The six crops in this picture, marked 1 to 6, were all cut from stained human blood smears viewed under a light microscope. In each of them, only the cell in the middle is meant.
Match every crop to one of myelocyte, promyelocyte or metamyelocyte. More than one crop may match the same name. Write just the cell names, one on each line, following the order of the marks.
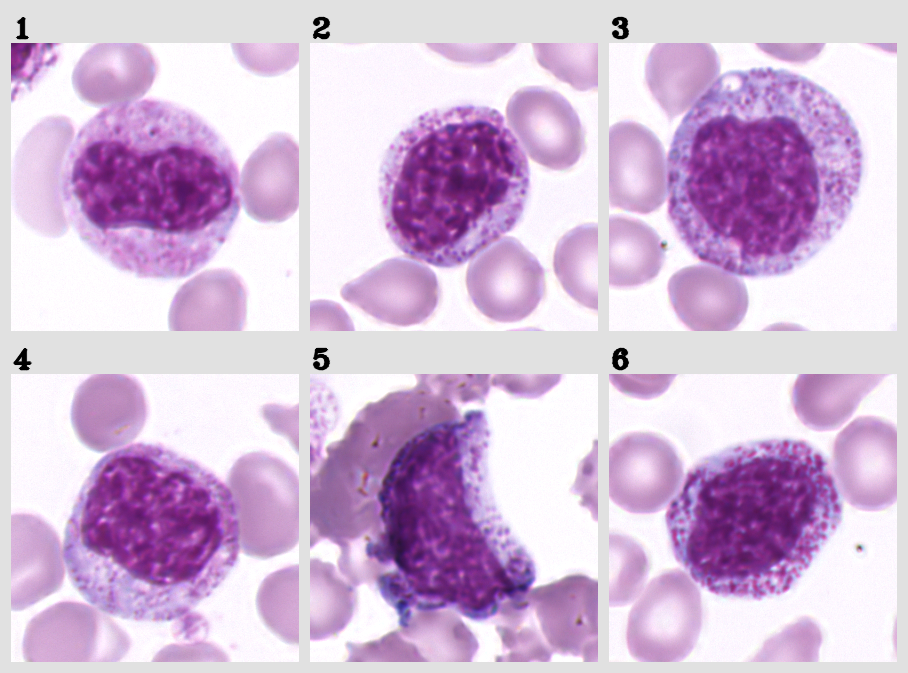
metamyelocyte
metamyelocyte
myelocyte
myelocyte
promyelocyte
myelocyte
